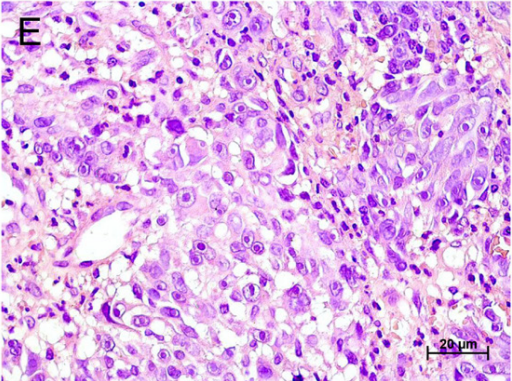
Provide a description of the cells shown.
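This high-power view shows a malignant tumor made of epithelioid tumor cells. The cells are large and polygonal, lying loosely in a sheet with some pale, vacuolated spaces and a small vessel between them. Their nuclei are round to oval and vesicular, with open pale chromatin, and many carry a conspicuous nucleolus. Nuclei vary in size and shape, and some are dark and irregular. The cytoplasm is abundant and pink. Scattered among the tumor cells are smaller dark nuclei. No brown pigment is seen anywhere in the field.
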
